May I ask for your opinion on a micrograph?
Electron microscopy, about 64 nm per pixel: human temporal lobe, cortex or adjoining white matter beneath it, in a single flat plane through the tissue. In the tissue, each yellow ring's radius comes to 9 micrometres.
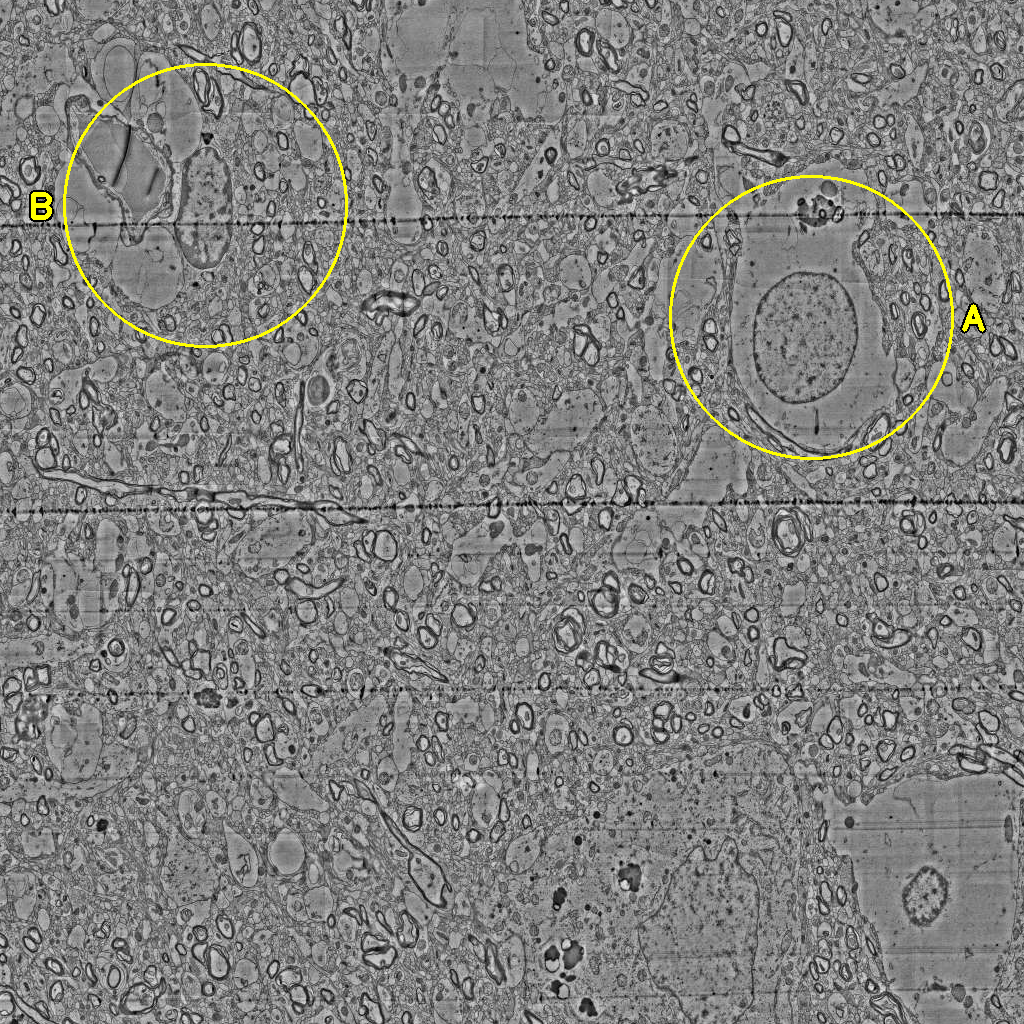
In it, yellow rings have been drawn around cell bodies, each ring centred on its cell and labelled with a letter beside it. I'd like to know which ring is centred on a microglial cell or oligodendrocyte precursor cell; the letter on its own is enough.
B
